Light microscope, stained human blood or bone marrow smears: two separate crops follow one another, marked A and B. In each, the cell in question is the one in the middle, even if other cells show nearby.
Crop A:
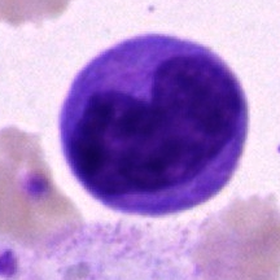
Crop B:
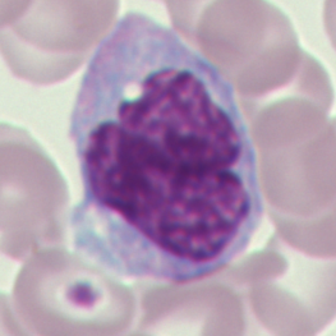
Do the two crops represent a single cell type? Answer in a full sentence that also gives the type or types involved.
Yes, the cells at the middle of both crops are monocytes.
